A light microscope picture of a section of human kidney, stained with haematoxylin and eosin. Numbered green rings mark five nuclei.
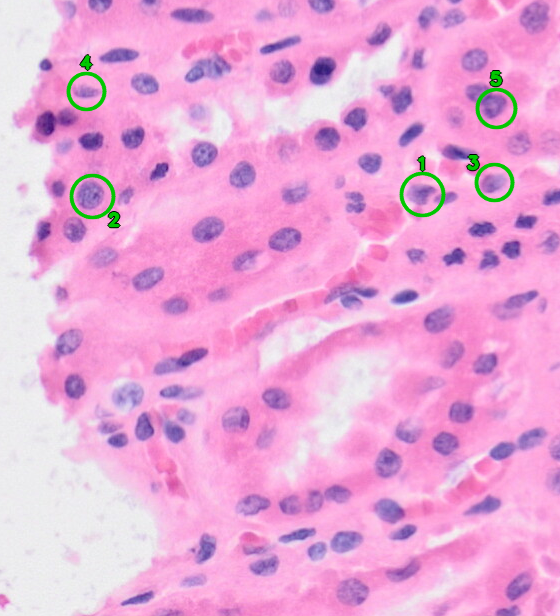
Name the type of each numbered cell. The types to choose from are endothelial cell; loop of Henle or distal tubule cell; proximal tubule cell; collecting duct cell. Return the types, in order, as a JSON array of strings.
["endothelial cell", "loop of Henle or distal tubule cell", "endothelial cell", "endothelial cell", "proximal tubule cell"]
